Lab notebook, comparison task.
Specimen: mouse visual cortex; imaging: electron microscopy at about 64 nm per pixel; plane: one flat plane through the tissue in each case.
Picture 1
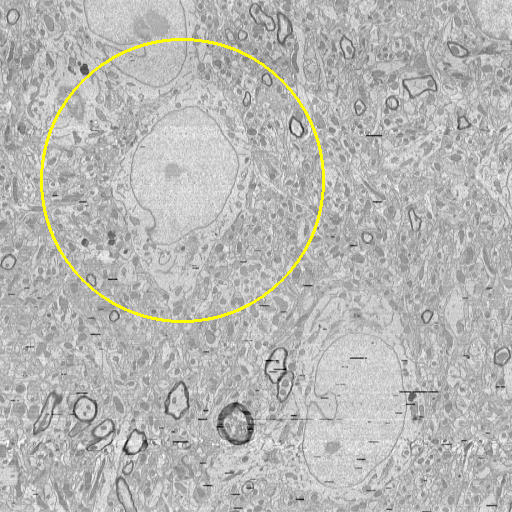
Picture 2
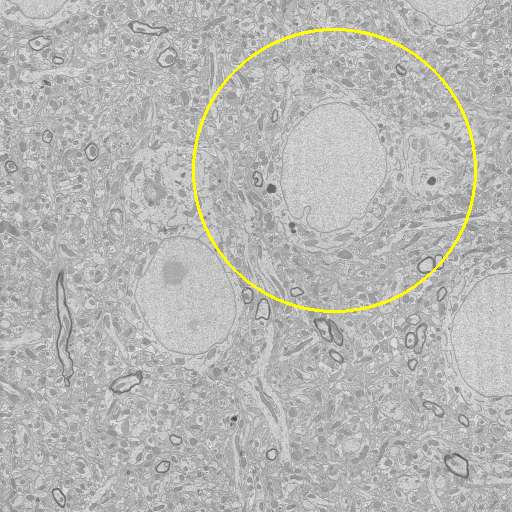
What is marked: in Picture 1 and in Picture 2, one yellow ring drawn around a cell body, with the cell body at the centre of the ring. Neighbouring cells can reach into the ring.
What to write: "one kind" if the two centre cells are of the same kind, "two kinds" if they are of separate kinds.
one kind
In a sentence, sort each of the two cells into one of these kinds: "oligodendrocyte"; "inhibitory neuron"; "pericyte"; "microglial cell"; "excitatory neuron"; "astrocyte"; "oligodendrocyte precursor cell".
Each of the ringed cells, first and second, is an excitatory neuron.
